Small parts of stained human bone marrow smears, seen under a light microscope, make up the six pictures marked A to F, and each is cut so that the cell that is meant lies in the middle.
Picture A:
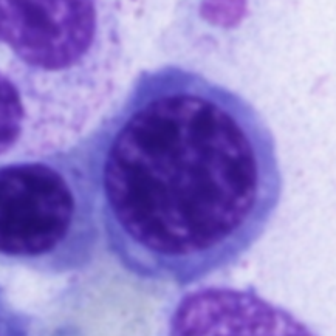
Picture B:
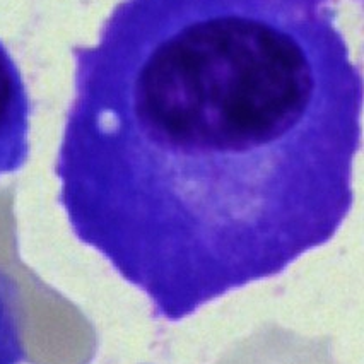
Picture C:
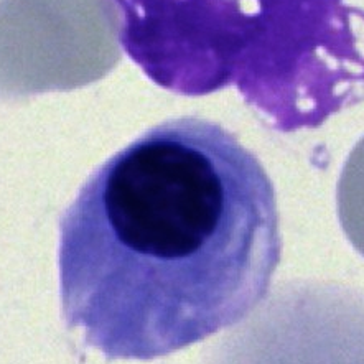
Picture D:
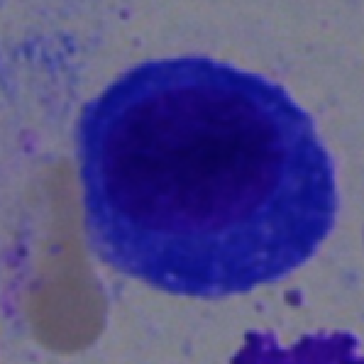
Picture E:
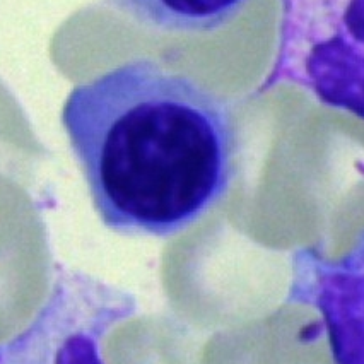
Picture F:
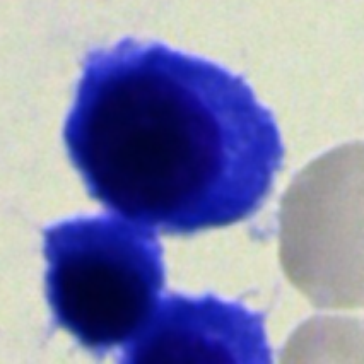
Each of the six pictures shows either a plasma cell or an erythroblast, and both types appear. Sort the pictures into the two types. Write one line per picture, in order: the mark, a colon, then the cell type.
A: erythroblast
B: plasma cell
C: erythroblast
D: plasma cell
E: erythroblast
F: erythroblast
